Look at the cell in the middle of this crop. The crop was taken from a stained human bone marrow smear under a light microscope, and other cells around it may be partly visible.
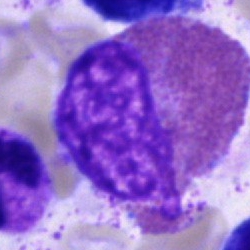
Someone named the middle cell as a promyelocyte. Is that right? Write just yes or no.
no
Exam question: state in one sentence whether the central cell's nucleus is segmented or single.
Key feature: a single compact nucleus, round, oval or kidney-shaped.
